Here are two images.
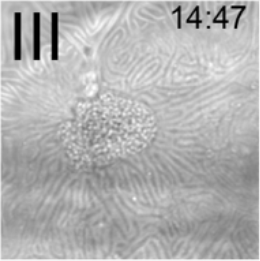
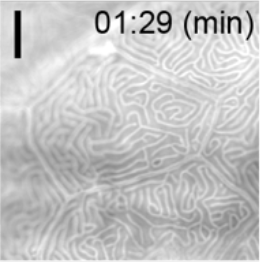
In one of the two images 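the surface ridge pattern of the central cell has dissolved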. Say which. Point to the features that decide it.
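The first image. First image: a central round area is granular with no winding ridges. Second image: winding ridges cover all cells evenly, including the center.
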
